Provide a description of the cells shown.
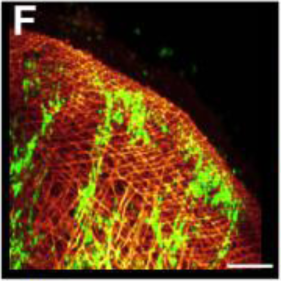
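The orange muscle fibres are thin and long and run in several directions, crossing to form a regular lattice. The body margin curves along one edge, where the orange fibres appear denser.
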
